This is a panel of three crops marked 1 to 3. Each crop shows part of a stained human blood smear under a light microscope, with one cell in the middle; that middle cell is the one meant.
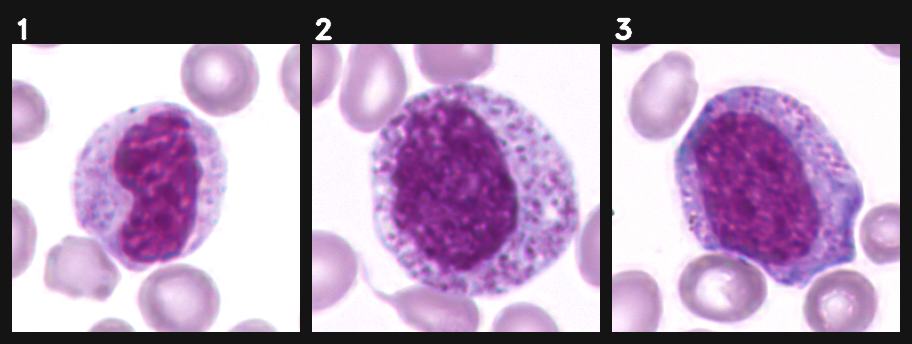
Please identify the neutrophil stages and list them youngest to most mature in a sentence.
From least to most mature, the order is crop 3 (a promyelocyte), crop 2 (a myelocyte) and crop 1 (a metamyelocyte).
